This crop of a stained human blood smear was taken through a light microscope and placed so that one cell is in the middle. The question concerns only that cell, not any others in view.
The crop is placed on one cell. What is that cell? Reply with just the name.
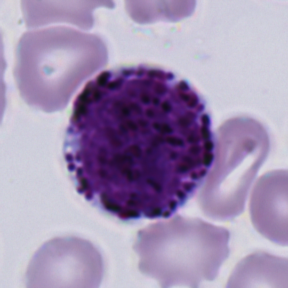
basophil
